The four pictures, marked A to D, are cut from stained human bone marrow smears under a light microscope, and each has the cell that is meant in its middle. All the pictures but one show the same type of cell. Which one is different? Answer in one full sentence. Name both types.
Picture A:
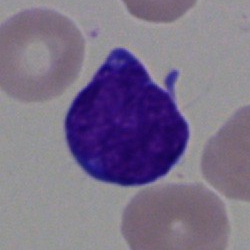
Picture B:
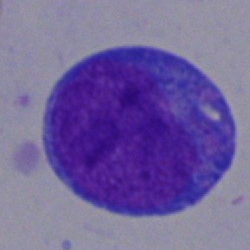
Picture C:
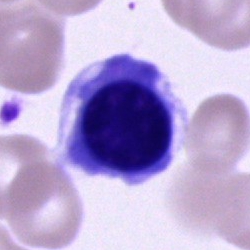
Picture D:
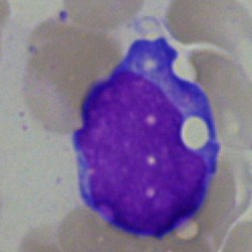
The different one is picture C; it shows an erythroblast, whereas all the others show blasts.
